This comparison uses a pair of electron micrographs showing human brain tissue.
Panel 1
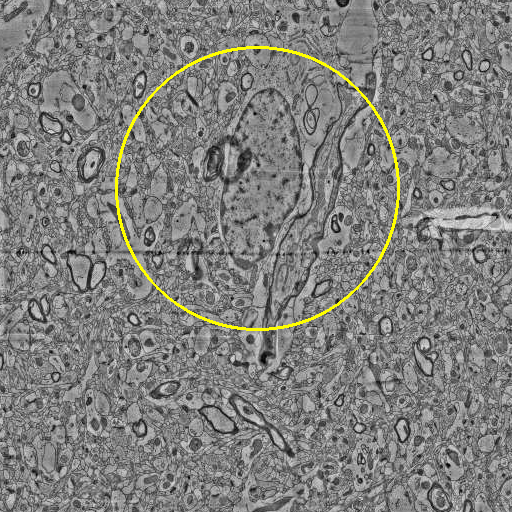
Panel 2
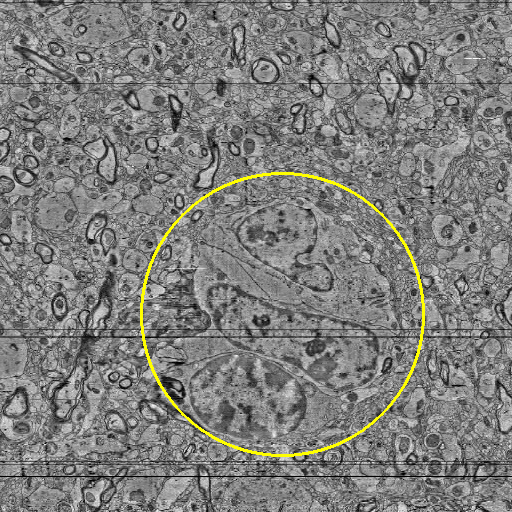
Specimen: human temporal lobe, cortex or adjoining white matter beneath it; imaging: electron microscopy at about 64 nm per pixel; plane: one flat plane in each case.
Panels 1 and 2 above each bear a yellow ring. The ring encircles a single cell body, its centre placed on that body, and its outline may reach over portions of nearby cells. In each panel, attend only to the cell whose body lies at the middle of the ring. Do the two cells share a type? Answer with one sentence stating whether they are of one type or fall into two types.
In Panel 1 and Panel 2, the cells at the centres of the rings are of one type.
